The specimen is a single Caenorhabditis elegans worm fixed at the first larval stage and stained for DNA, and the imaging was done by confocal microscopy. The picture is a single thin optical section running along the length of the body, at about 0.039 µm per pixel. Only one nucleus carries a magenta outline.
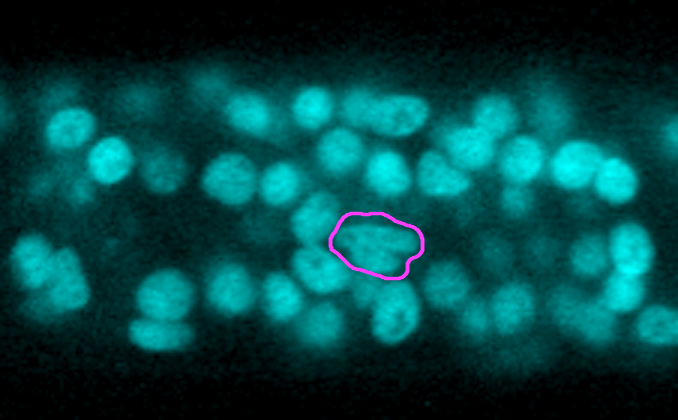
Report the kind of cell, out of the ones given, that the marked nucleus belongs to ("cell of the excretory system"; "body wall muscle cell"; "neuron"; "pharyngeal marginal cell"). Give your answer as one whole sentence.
This nucleus is from a pharyngeal marginal cell.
